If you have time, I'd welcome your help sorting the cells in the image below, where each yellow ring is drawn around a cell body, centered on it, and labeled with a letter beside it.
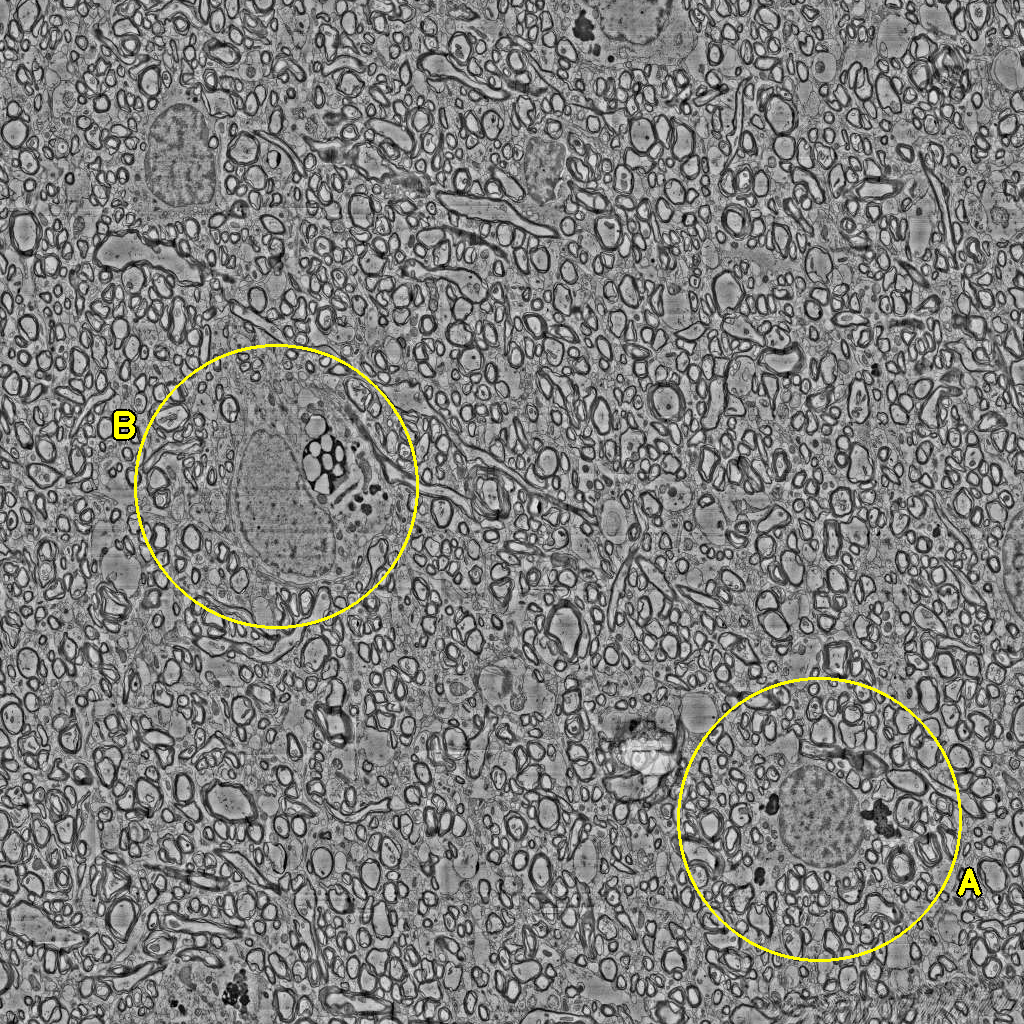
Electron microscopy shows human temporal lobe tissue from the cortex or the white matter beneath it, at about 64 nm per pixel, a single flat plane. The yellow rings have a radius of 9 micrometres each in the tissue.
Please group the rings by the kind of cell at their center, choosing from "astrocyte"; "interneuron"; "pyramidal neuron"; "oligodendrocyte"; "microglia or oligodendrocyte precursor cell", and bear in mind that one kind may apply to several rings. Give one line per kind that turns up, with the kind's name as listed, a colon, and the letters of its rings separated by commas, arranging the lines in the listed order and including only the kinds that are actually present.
astrocyte: B
oligodendrocyte: A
